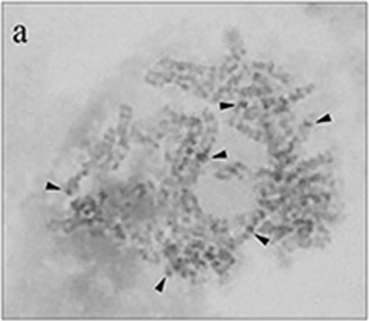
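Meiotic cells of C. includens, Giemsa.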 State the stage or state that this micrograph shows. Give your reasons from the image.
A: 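Pachytene. Long, thread-like chromosomes with a beaded texture fill a rounded nucleus.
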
